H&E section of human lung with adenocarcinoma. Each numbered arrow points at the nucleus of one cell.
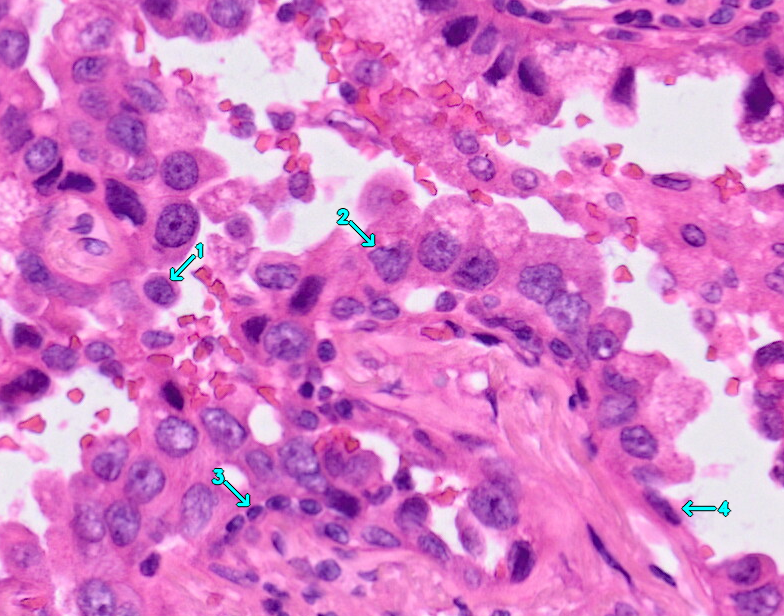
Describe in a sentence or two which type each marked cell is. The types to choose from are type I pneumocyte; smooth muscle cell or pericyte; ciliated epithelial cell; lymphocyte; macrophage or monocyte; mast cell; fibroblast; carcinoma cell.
Cell 1 is a carcinoma cell, cell 2 is a carcinoma cell, cell 3 is a lymphocyte and cell 4 is a carcinoma cell.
